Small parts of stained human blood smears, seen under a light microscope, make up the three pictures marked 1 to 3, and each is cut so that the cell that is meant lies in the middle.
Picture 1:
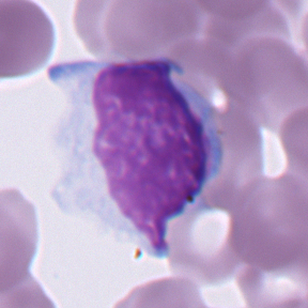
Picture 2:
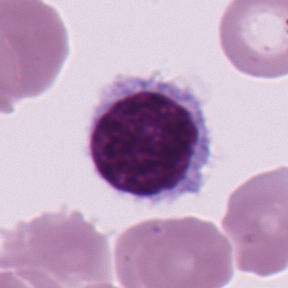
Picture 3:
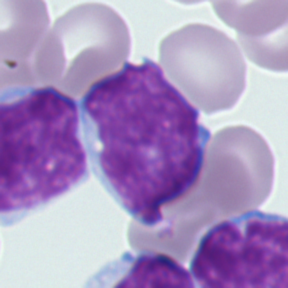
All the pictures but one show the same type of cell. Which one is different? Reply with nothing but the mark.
2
